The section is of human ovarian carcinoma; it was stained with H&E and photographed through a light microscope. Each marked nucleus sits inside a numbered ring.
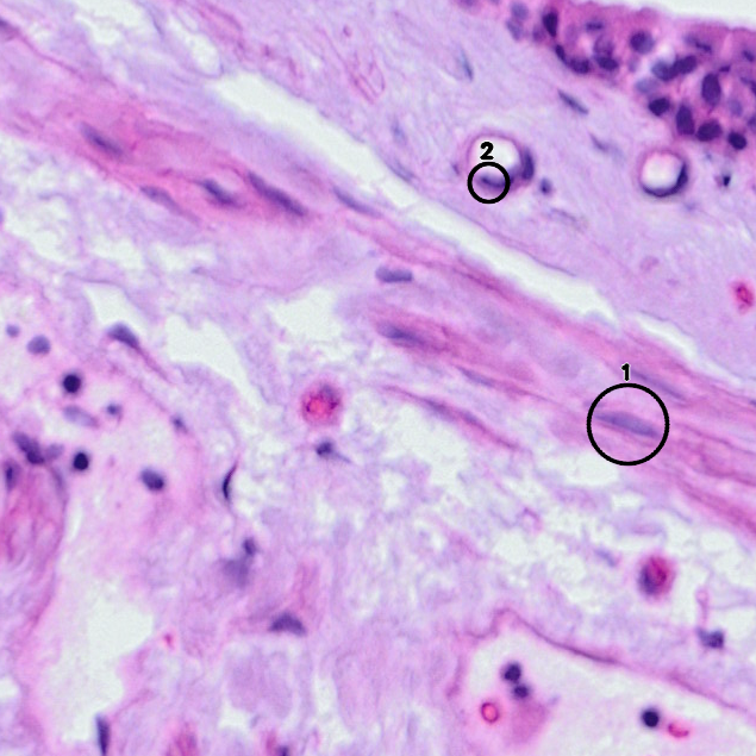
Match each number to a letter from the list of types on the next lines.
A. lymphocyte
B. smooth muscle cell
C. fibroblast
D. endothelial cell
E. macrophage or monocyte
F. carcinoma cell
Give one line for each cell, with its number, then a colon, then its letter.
1: B
2: D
